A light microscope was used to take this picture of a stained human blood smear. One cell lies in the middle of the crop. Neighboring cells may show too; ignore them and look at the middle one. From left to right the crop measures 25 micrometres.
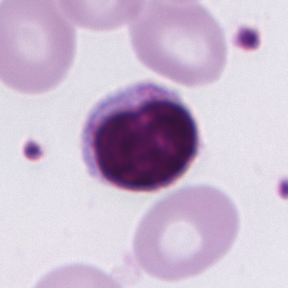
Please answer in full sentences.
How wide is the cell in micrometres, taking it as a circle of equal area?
Taken as a circle, the cell has a diameter of about 10 micrometres.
